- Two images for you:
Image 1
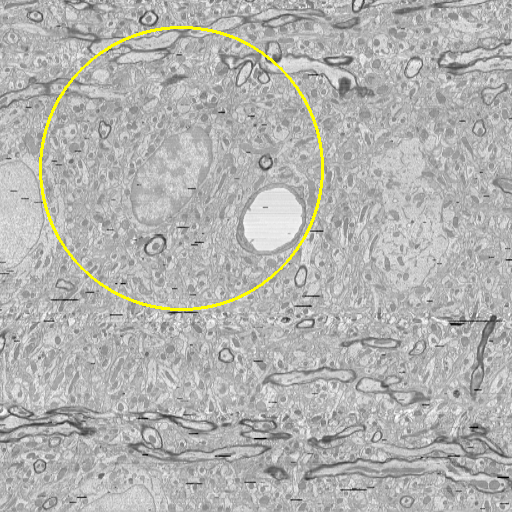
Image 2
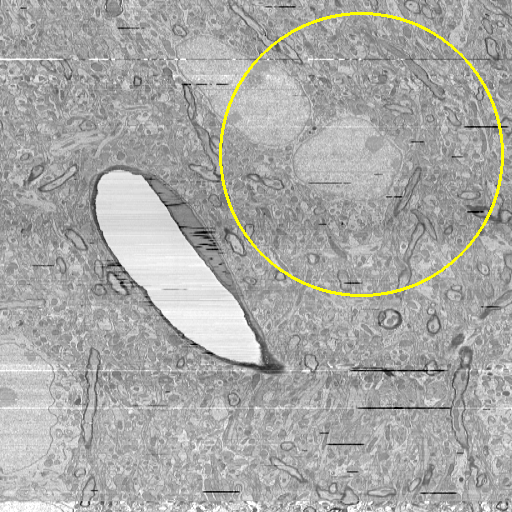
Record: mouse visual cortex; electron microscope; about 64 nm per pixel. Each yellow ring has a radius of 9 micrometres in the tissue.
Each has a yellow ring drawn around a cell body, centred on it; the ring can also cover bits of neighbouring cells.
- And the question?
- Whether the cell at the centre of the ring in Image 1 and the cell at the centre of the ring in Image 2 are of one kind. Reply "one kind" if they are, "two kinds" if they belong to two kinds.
two kinds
